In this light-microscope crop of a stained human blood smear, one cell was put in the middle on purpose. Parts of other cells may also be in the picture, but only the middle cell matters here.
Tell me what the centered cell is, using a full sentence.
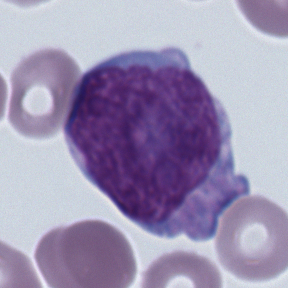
Classification of the middle cell gives a promyelocyte.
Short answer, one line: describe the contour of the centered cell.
The cell margin is rough and uneven, either ragged or drawn into projections.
